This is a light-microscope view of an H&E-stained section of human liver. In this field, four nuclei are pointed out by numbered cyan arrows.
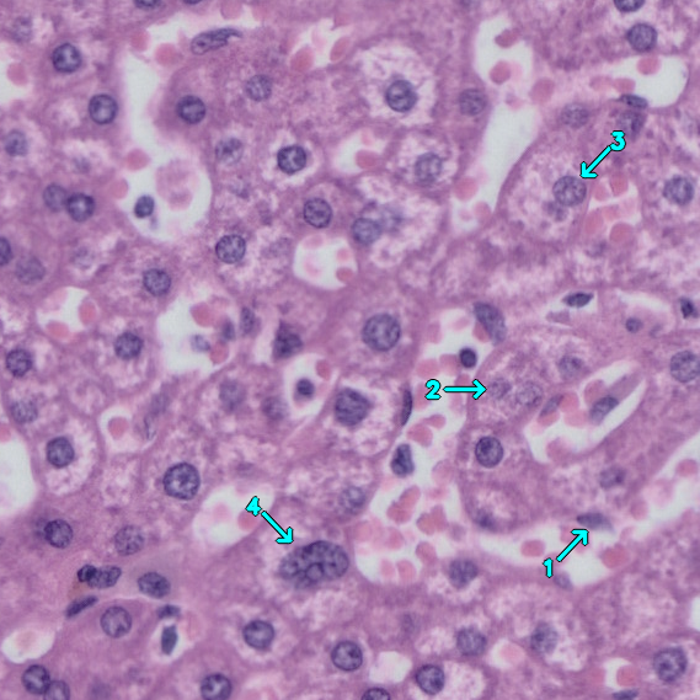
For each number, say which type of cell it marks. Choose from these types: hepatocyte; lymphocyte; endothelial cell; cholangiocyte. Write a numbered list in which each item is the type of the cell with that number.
1. endothelial cell
2. hepatocyte
3. hepatocyte
4. hepatocyte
